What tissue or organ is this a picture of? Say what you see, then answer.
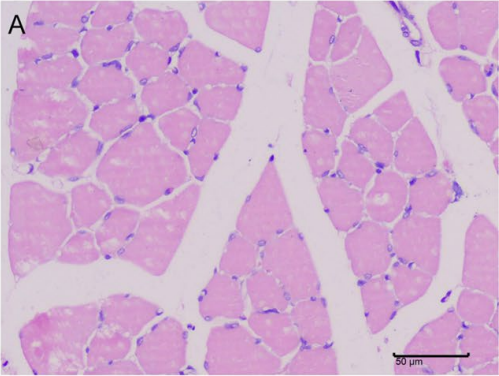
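Skeletal muscle. Polygonal pink fibers cut in cross-section packed into groups. Flattened dark purple nuclei at the edges of the fibers, not in their centres. Pale gaps of connective tissue separating groups of fibers.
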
